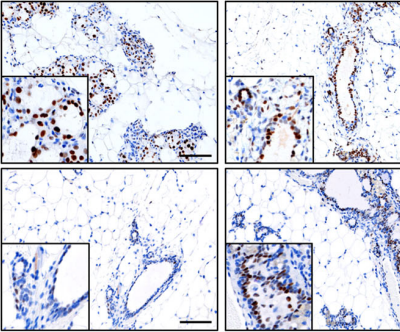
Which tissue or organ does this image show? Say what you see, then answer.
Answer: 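Small ducts with an epithelial lining lie scattered in a field of large empty fat cells. Loose connective tissue surrounds the ducts.
Answer: mammary gland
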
